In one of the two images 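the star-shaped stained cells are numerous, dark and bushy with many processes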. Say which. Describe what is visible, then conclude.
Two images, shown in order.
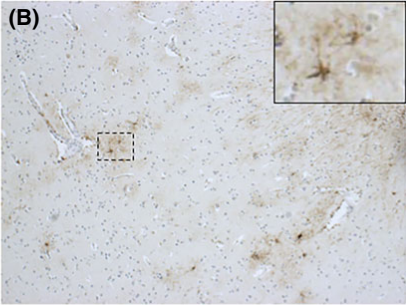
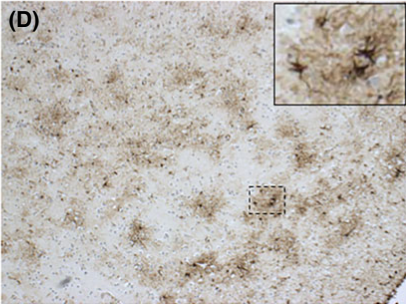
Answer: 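The second image. Second image: many dense brown star-shaped cells fill the field, with dark bodies and many processes. First image: only a few faint brown cells lie in a mostly pale field.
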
